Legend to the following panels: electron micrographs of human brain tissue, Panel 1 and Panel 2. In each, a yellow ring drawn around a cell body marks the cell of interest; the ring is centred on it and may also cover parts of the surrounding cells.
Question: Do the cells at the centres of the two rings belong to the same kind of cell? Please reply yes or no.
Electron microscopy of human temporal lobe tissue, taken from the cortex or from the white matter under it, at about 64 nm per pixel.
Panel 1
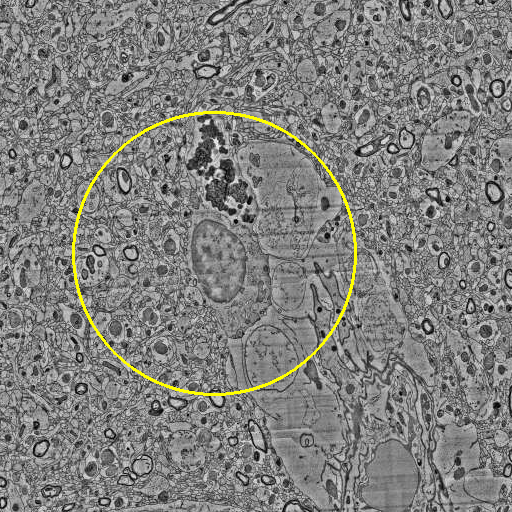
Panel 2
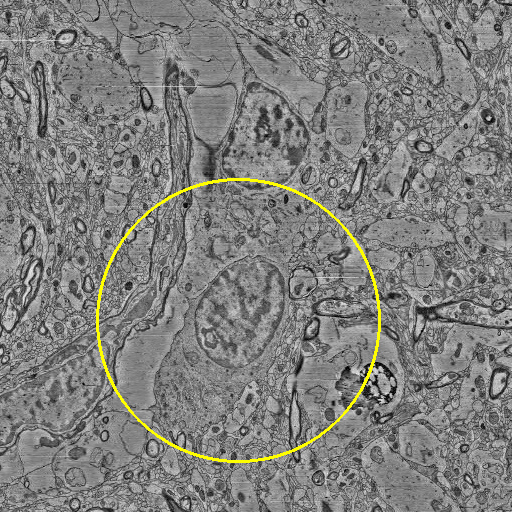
yes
